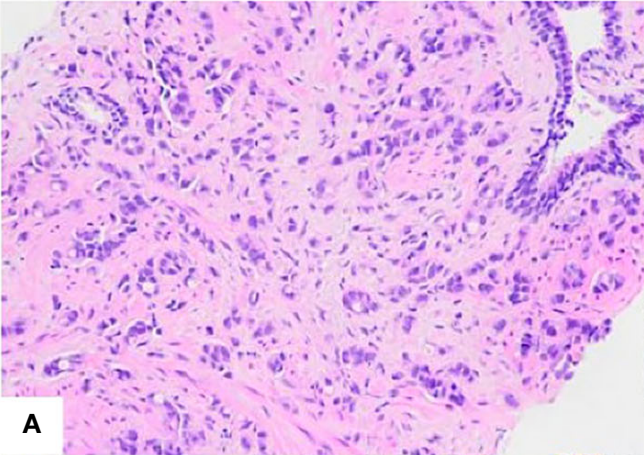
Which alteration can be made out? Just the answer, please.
adenocarcinoma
